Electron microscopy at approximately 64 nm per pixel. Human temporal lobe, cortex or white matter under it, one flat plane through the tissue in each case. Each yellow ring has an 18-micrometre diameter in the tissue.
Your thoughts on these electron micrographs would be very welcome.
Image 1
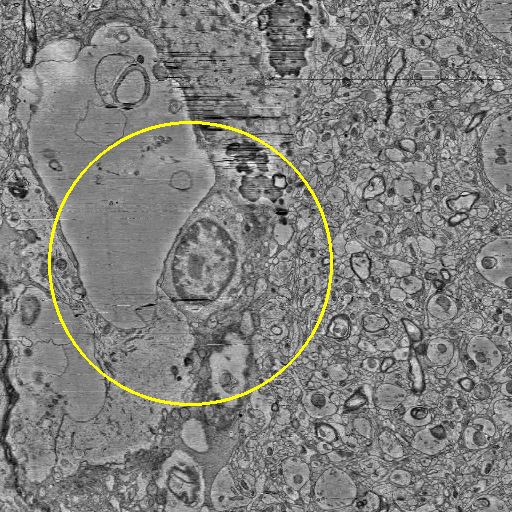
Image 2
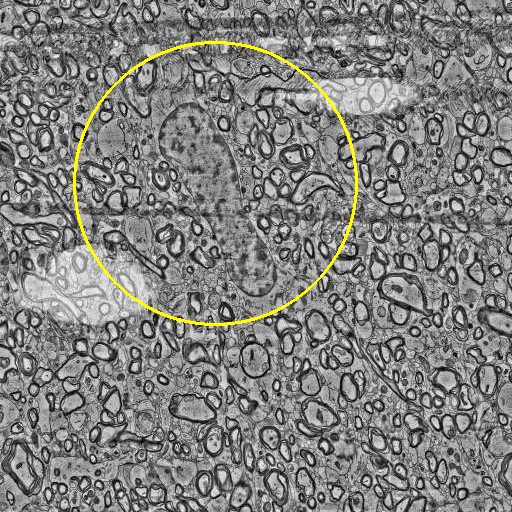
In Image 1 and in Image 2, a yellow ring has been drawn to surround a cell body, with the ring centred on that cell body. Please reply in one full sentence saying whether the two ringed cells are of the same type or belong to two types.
The ringed cells in Image 1 and Image 2 belong to two types.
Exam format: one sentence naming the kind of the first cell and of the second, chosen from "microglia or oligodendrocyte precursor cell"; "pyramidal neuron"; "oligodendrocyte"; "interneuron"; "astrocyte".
The first picture's cell is an oligodendrocyte, and the second picture's cell is a microglial cell or oligodendrocyte precursor cell.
